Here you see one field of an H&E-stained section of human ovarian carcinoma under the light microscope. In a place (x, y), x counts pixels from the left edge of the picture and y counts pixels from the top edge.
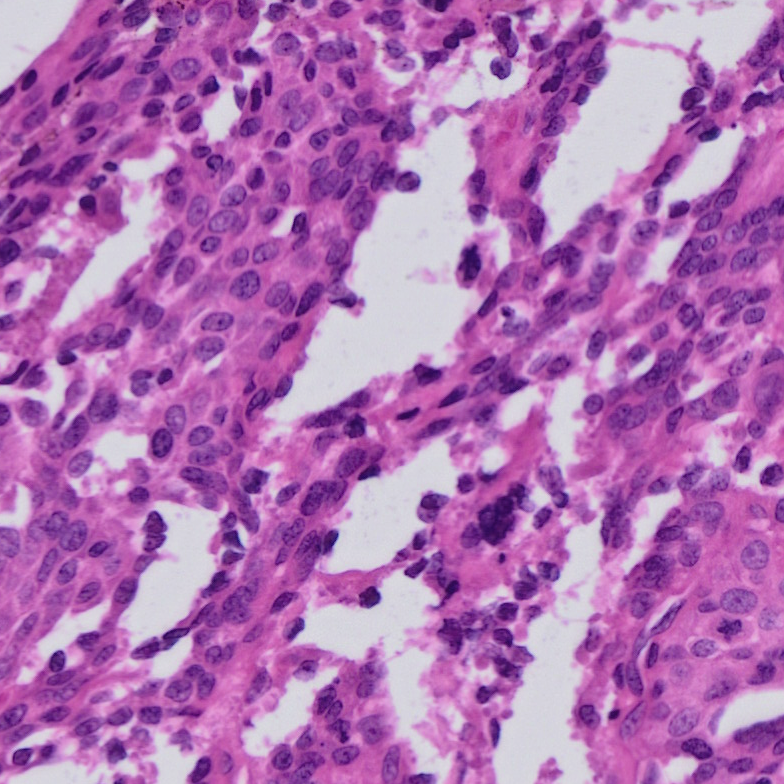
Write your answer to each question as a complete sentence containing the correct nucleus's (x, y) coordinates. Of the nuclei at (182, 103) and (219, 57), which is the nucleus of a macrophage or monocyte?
The nucleus at (182, 103) is assigned to a macrophage or monocyte.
